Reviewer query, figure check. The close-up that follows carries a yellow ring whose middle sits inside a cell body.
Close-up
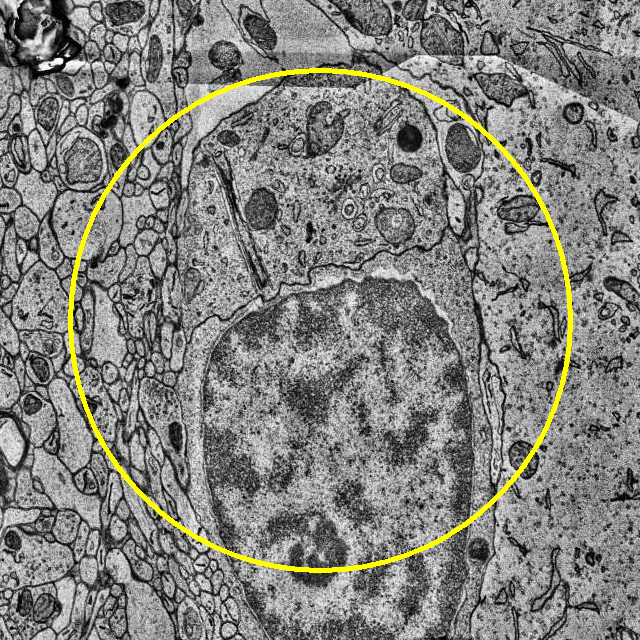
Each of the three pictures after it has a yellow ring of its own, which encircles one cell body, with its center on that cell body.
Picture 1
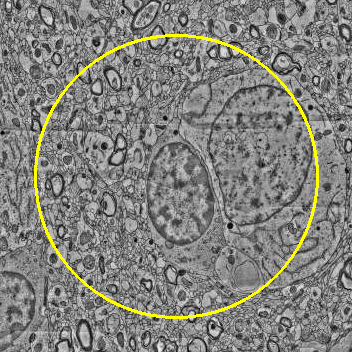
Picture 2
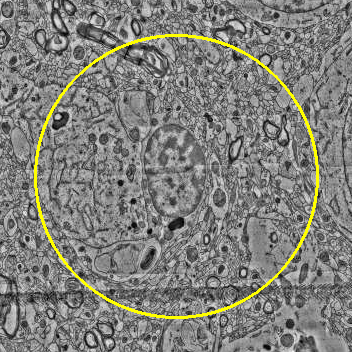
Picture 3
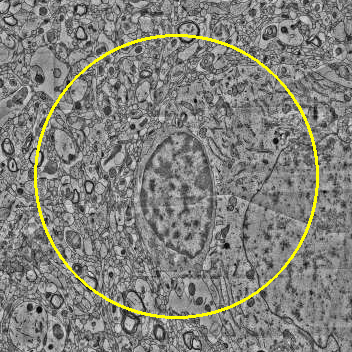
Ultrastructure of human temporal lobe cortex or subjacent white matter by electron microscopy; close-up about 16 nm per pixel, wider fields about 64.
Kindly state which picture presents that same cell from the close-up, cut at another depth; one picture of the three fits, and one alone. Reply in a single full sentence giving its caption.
The cell ringed in Picture 3 is the one shown up close.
